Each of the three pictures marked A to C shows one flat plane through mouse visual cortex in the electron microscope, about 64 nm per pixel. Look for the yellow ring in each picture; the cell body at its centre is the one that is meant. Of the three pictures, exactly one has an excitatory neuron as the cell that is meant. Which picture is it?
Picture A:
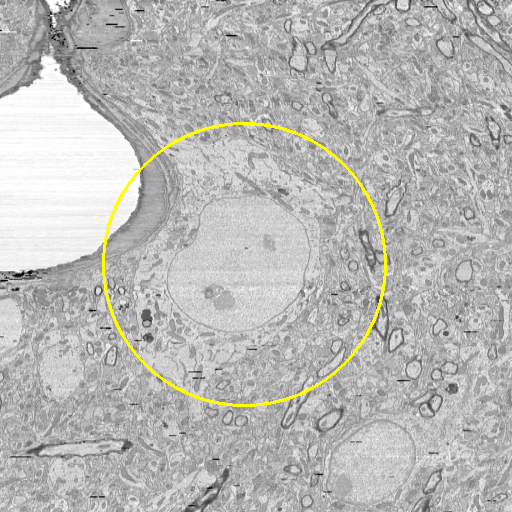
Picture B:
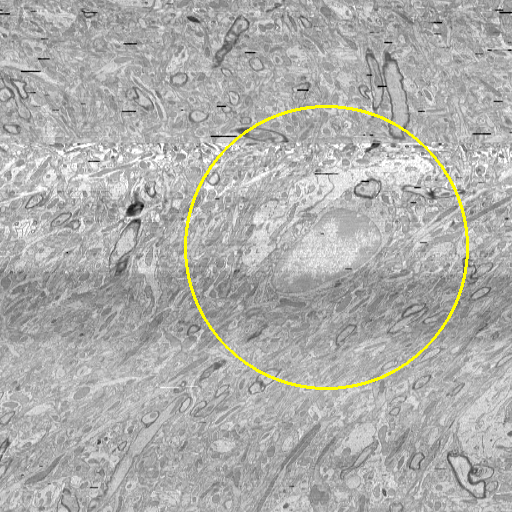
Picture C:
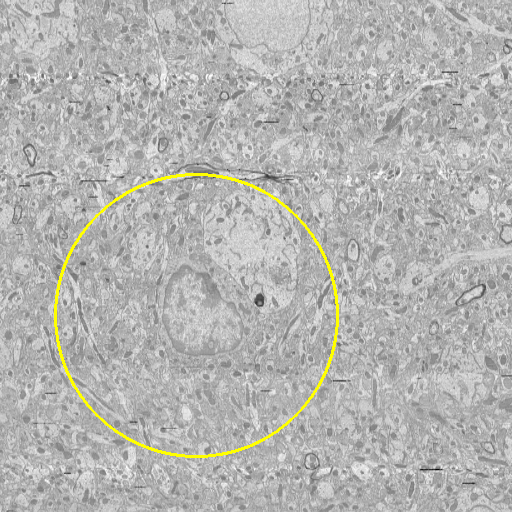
Picture A is the one that shows the excitatory neuron.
